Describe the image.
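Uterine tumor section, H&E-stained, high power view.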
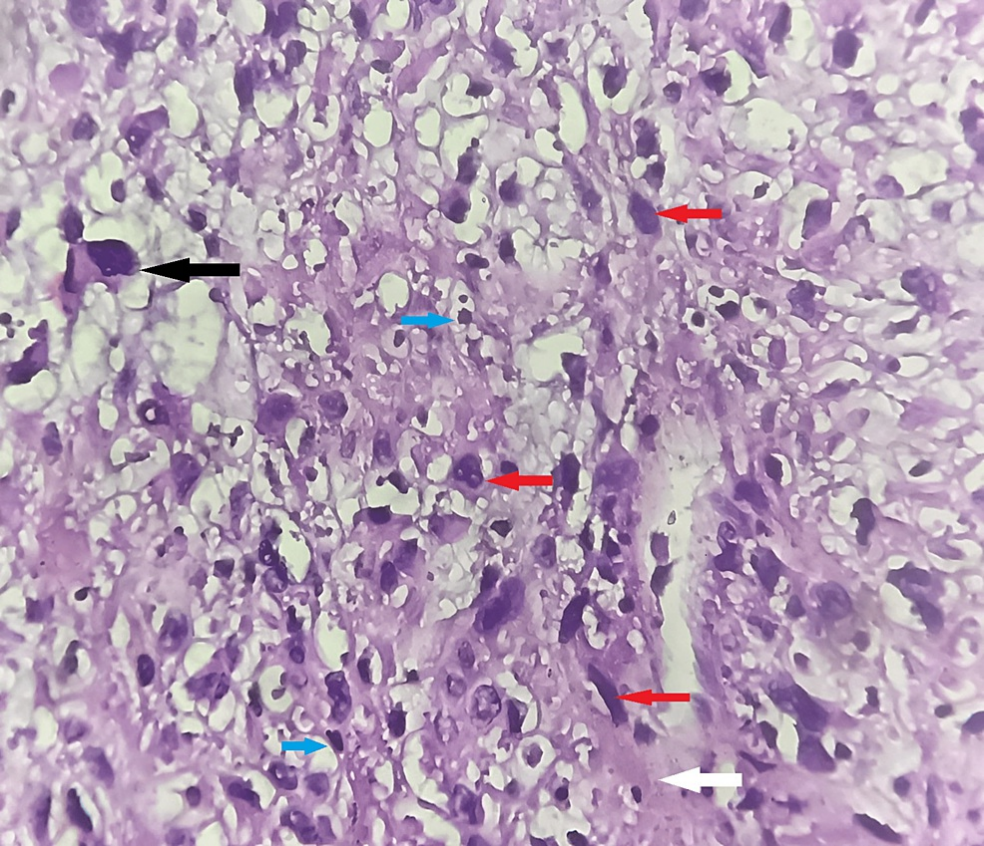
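The nuclei are dark purple and vary widely in size and shape, from elongated and spindle-like to plump, oval or irregular. Scattered among them is a much larger bizarre cell with a big, very dark, irregular nucleus. Small, dense, dark clumps of chromatin stand out as mitotic figures. The background holds many clear, empty-looking spaces, and there are areas of pale pinkish-purple, loose myxoid stroma.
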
